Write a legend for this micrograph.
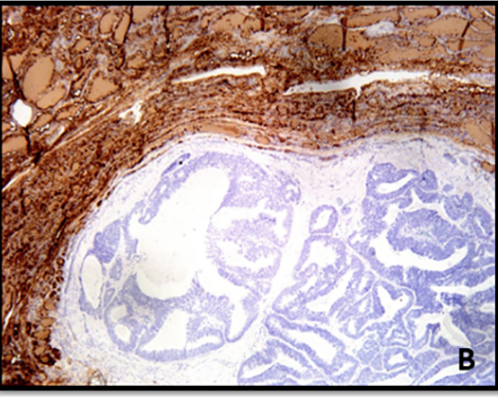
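Here a nest of glandular tumor sits beneath a band of thyroid parenchyma. The thyroid tissue at the top, with its round follicles and the stroma around the tumor, is stained brown. The tumor below is entirely blue, with folded columnar epithelium lining open glandular spaces. The sharp boundary between brown surrounding tissue and the unstained tumor outlines the nest clearly.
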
